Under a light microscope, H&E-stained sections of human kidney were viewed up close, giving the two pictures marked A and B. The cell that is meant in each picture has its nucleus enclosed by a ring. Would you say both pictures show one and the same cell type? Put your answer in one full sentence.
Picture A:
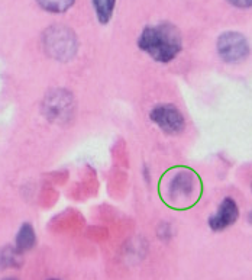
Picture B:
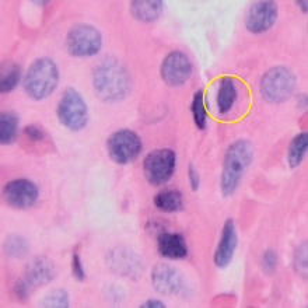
Yes, both cells are “loop of Henle or distal tubule cells”.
